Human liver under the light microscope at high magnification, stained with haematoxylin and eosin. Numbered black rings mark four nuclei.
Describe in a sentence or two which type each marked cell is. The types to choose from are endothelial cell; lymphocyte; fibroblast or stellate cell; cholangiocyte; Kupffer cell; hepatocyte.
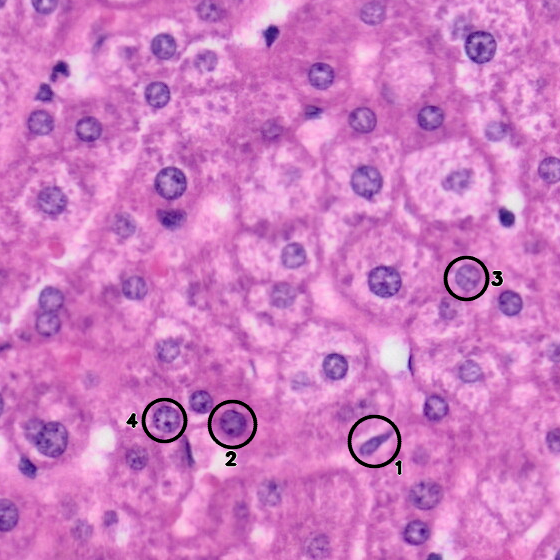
Cell 1 is a Kupffer cell. Cells 2, 3 and 4 are hepatocytes.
